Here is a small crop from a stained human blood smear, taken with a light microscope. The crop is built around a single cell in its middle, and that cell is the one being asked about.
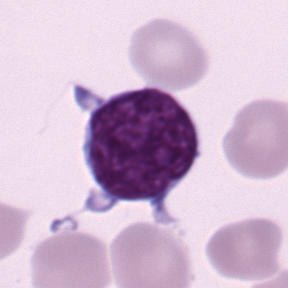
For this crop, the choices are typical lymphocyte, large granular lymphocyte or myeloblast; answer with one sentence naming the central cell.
The crop's centre is taken up by a myeloblast.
